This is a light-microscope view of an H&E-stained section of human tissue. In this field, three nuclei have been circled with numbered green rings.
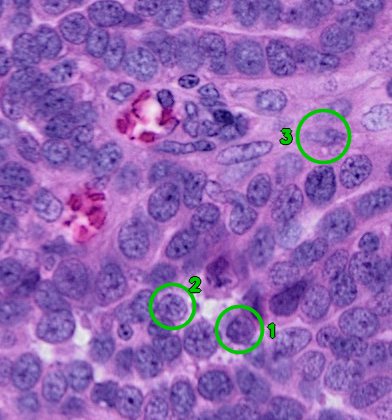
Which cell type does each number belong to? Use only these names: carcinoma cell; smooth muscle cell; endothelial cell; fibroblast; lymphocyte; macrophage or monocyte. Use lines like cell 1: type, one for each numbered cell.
cell 1: carcinoma cell
cell 2: carcinoma cell
cell 3: fibroblast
